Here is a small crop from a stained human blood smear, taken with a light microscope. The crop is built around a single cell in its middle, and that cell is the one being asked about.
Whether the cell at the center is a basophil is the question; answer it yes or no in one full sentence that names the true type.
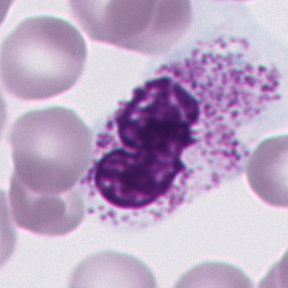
No, the cell in the middle of the field is a neutrophil, not a basophil as suggested.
